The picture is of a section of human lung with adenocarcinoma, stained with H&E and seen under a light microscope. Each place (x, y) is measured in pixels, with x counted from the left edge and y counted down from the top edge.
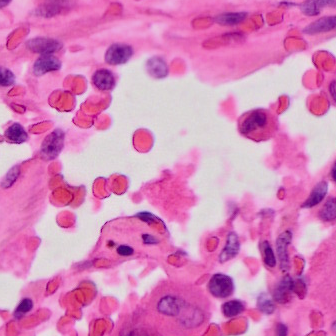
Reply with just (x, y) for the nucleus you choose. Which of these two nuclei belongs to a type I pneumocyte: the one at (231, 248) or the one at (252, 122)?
(231, 248)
